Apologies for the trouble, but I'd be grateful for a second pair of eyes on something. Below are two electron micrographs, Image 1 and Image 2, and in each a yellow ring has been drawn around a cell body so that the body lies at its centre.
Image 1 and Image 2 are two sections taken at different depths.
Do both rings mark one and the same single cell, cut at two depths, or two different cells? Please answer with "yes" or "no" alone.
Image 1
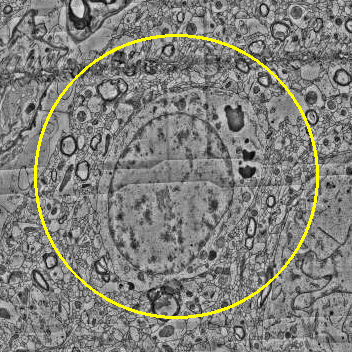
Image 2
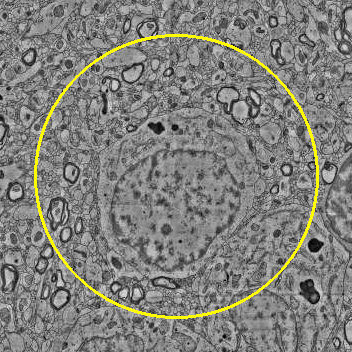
no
